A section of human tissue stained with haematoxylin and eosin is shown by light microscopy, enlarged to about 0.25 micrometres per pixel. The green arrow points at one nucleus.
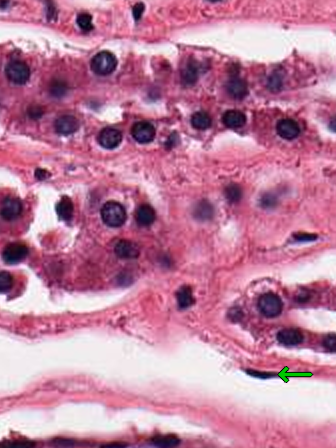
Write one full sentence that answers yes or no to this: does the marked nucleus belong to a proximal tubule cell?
No, a proximal tubule cell is not the cell of the marked nucleus; a supporting cell is.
